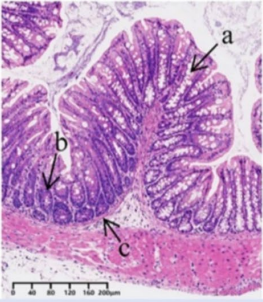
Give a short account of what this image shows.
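This is a section of colon with tall mucosal folds made of closely set crypts, stained purple, above a pink muscle layer. The crypts are lined by columnar epithelium with many pale, rounded goblet cells among the purple nuclei. At the bottom the rounded crypt bases sit on a thin submucosa. Under the submucosa lies the pink smooth muscle.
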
